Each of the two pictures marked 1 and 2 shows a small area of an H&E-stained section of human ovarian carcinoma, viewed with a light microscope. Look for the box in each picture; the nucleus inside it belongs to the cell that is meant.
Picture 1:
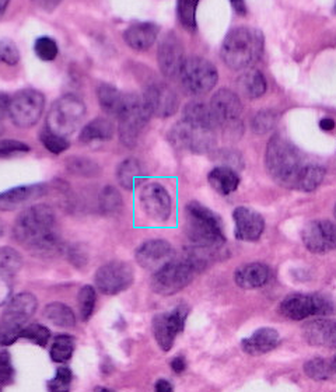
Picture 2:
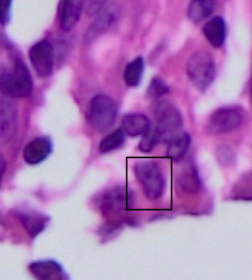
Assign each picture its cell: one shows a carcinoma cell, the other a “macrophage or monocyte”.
1: macrophage or monocyte
2: carcinoma cell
